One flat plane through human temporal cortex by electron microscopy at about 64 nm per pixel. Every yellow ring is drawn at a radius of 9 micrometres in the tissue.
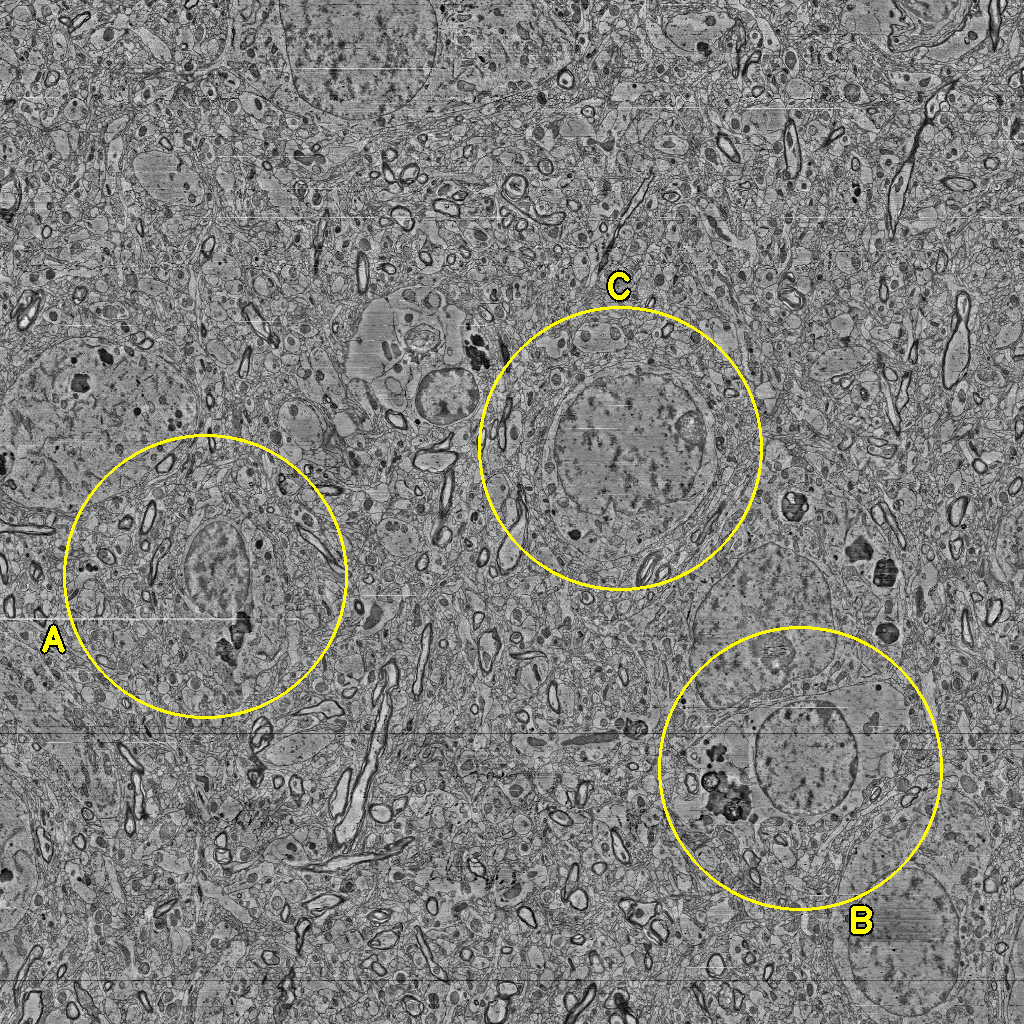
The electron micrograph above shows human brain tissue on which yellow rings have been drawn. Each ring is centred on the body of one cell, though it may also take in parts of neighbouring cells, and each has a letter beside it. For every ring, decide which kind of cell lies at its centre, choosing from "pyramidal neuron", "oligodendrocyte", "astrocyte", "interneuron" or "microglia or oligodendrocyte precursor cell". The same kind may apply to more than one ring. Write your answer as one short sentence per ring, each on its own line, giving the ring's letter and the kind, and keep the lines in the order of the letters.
Ring A is centred on an oligodendrocyte.
Ring B is centred on an astrocyte.
Ring C is centred on a pyramidal neuron.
